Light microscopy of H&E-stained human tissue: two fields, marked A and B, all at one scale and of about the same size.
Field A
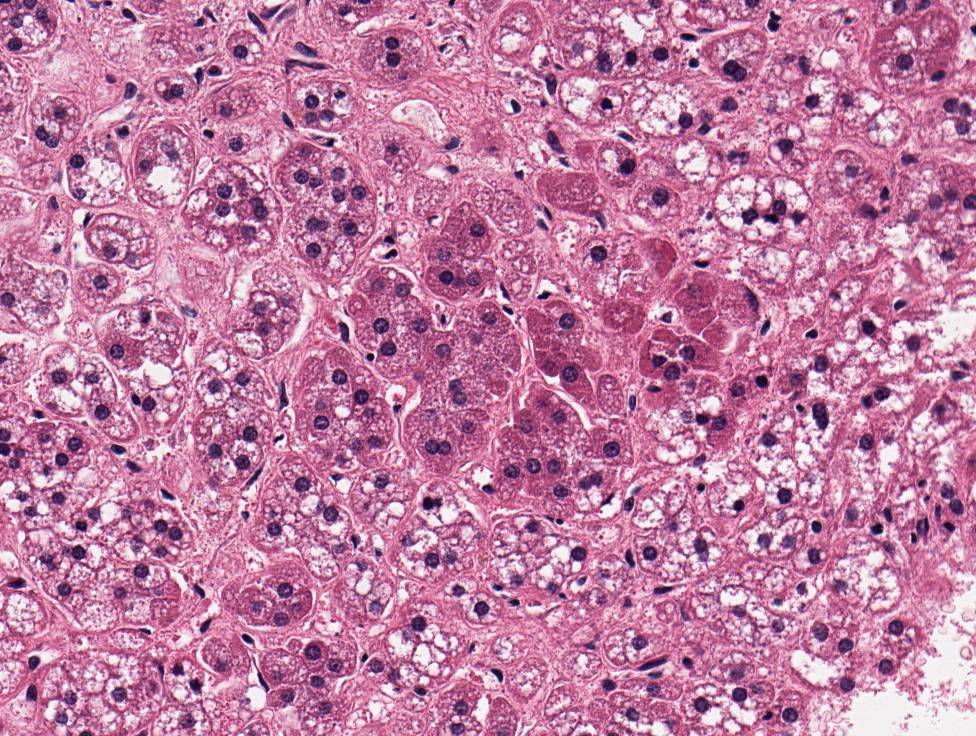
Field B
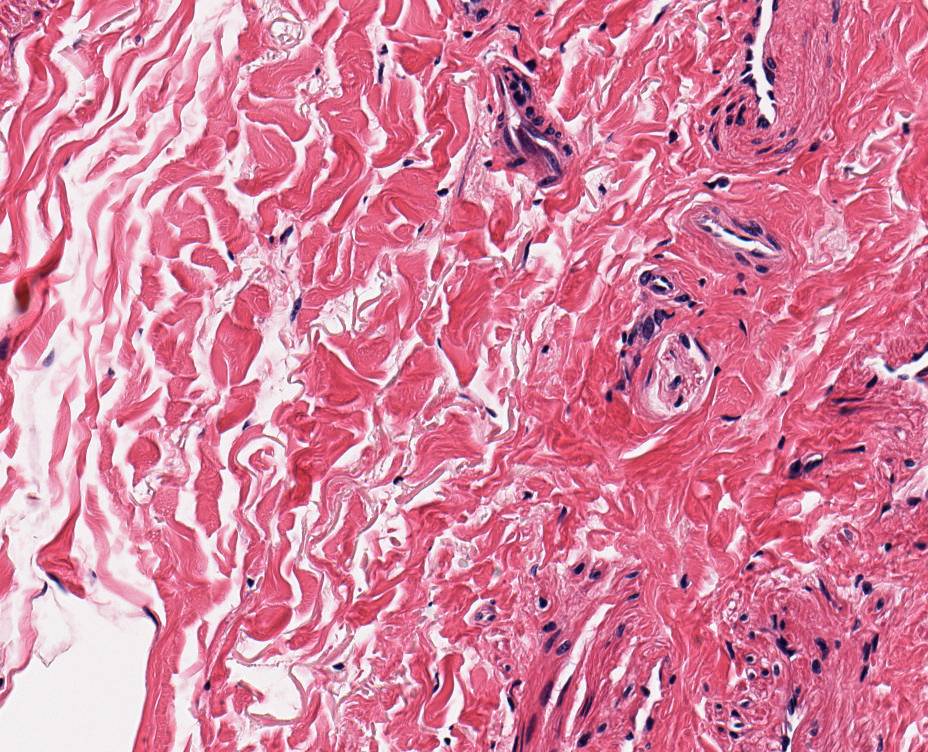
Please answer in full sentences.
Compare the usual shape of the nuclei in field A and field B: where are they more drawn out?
Longer, more slender nuclei lie in field B.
